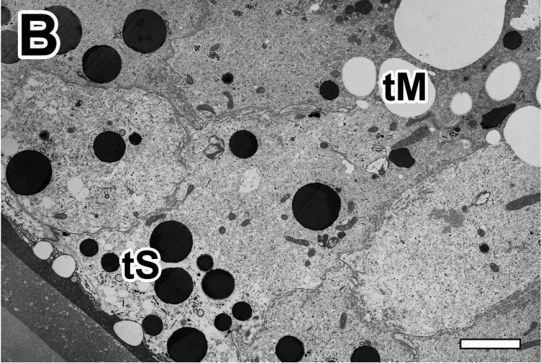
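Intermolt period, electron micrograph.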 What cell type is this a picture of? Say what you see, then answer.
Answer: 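Cytoplasm holds many round dense granules. Cells rest on a dark layer at the lower left.
Epithelial cells.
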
